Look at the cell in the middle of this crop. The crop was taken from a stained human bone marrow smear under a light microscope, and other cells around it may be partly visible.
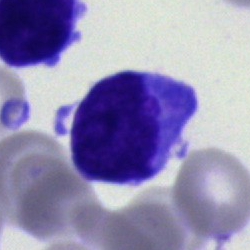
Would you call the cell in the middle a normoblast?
no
